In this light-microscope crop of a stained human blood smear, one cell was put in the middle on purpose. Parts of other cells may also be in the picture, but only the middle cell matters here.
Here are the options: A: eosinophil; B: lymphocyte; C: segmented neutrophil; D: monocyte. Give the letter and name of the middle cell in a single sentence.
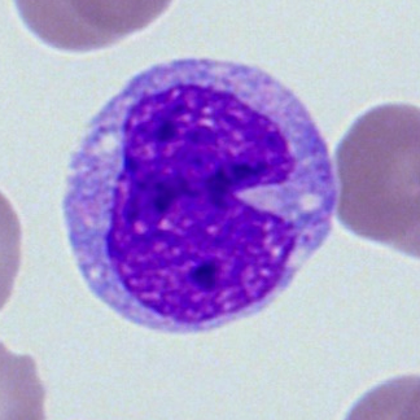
Option D is the correct selection, for the cell at the centre is a monocyte.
